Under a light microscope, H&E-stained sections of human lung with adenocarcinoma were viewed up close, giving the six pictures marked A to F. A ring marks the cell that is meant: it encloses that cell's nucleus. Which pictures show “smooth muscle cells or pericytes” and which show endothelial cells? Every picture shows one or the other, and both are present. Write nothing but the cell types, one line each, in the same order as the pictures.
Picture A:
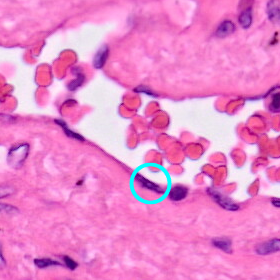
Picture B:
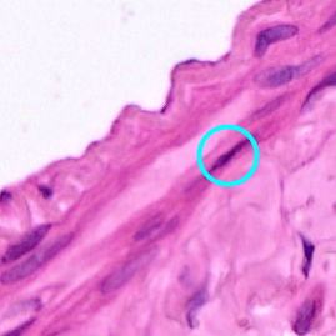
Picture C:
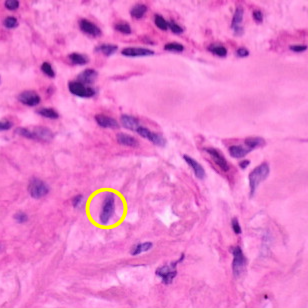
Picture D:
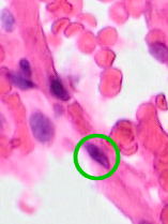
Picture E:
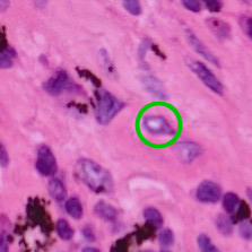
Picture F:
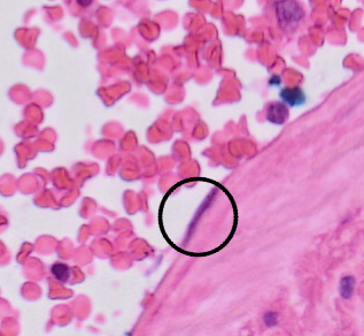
endothelial cell
smooth muscle cell or pericyte
smooth muscle cell or pericyte
endothelial cell
endothelial cell
endothelial cell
